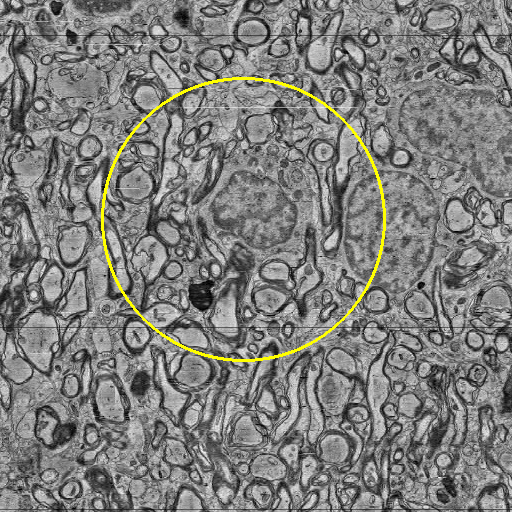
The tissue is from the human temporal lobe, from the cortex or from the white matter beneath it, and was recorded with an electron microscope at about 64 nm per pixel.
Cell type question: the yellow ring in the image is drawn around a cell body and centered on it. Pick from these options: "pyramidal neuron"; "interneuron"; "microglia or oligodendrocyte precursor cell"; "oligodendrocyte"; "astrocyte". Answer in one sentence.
The ringed cell at the center is an oligodendrocyte.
